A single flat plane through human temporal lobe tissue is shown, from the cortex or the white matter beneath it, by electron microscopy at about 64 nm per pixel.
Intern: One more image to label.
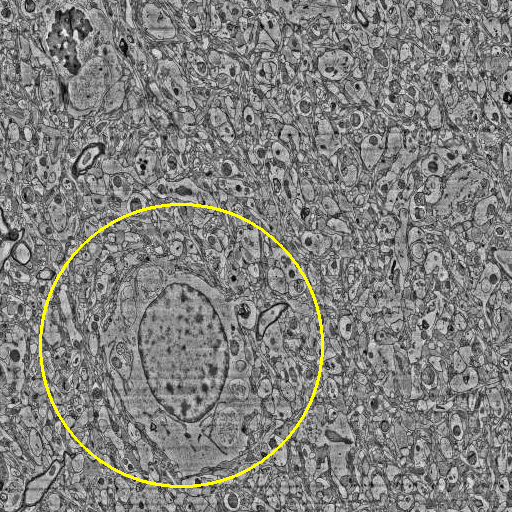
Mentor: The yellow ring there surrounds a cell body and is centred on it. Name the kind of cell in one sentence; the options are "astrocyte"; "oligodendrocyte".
The ring marks the cell body of an astrocyte.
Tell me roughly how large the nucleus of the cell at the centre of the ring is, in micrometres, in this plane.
The nucleus comes to approximately 9 by 6 micrometres and is clearly longer than it is wide in this plane.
